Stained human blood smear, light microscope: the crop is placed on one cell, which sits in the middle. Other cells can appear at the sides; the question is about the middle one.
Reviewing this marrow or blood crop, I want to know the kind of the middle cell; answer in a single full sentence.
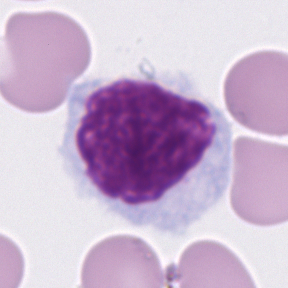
At the center of the crop sits a hairy cell.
